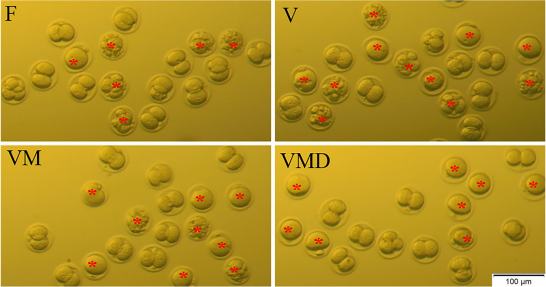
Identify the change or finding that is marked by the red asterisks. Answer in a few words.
cell development retardation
